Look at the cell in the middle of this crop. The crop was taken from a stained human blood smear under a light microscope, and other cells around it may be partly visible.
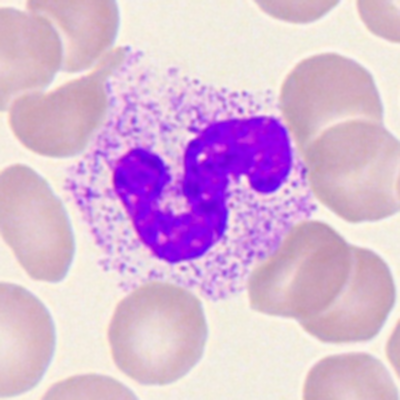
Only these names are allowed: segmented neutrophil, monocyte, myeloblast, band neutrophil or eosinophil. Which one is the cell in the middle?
band neutrophil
